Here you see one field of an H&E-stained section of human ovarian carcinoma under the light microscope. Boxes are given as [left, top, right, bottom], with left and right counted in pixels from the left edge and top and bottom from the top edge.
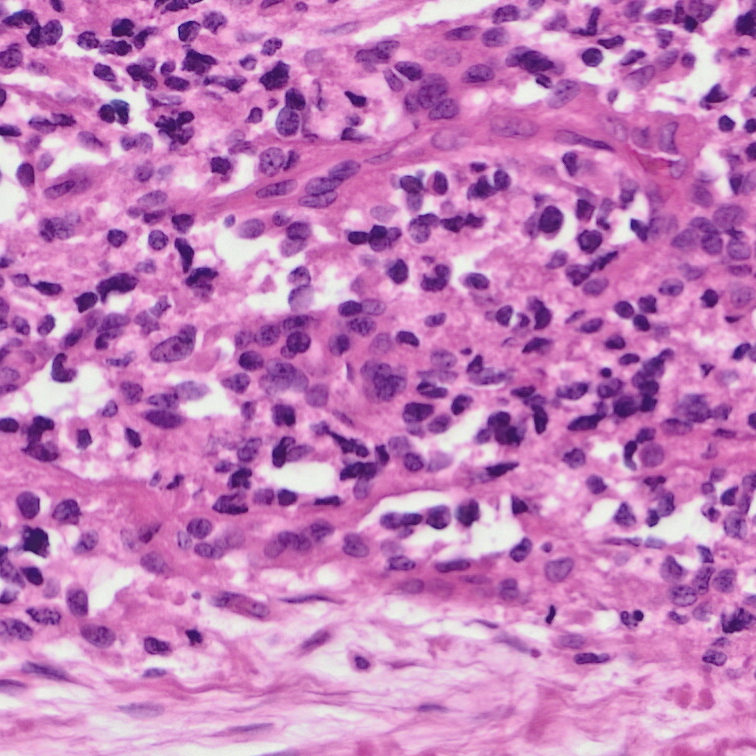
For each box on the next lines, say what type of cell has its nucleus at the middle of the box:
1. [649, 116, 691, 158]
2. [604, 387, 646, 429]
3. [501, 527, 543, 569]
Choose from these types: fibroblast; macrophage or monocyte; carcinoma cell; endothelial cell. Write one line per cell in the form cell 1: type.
cell 1: endothelial cell
cell 2: carcinoma cell
cell 3: macrophage or monocyte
